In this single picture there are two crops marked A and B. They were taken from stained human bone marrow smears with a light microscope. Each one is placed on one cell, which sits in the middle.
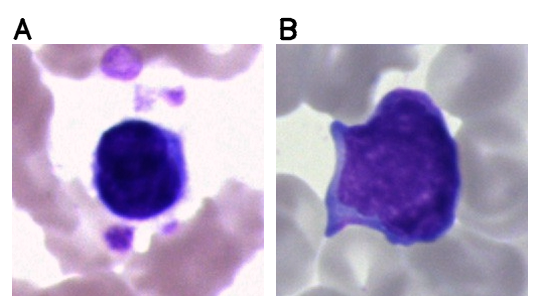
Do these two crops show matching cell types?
no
